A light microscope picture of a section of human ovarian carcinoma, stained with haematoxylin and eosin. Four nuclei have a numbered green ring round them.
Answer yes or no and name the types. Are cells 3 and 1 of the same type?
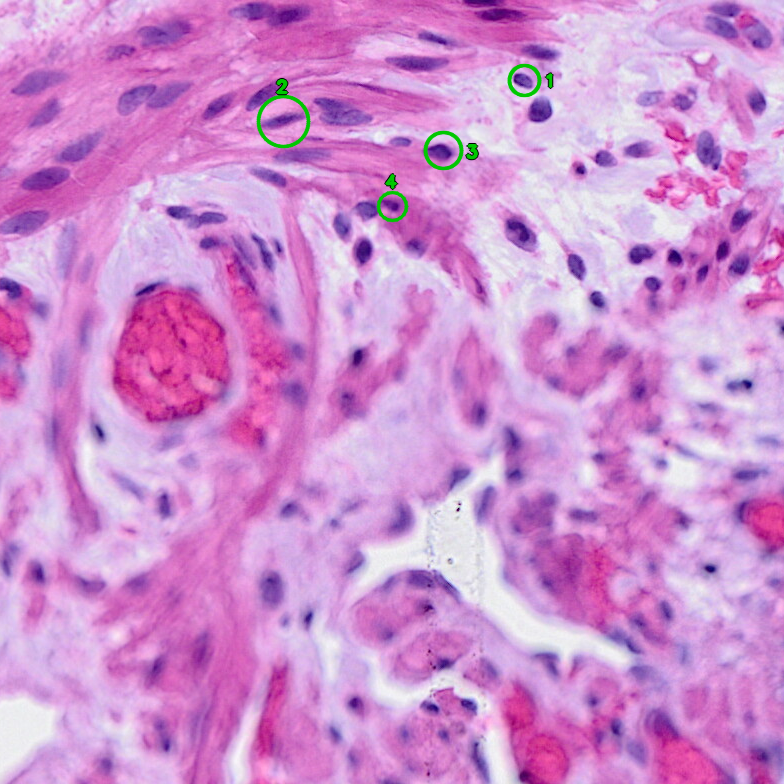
No, unlike cell 3, which is a smooth muscle cell, cell 1 is a lymphocyte.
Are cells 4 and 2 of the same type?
Yes, the cell labelled 4 and the cell labelled 2 are both smooth muscle cells.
